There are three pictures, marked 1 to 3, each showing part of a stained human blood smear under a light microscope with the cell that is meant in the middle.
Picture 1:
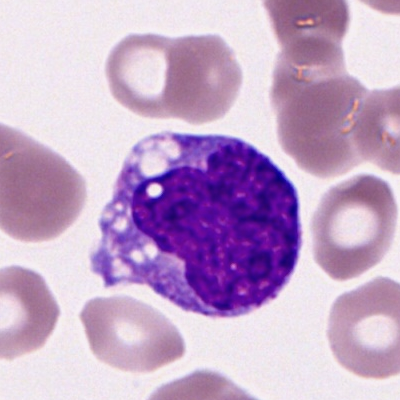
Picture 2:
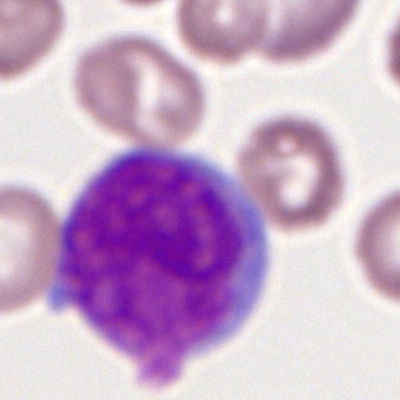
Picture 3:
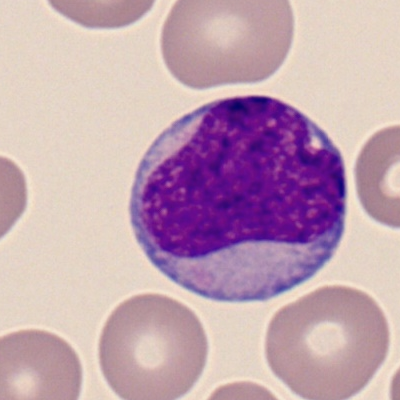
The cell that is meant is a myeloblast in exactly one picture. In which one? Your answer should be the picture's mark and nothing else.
3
